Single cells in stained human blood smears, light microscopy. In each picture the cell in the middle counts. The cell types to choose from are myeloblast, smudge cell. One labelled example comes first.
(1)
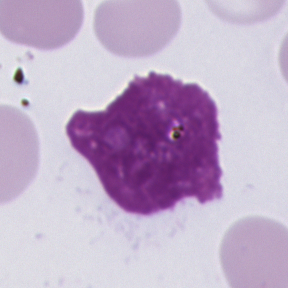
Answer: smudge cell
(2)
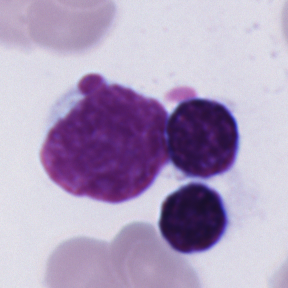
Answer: myeloblast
